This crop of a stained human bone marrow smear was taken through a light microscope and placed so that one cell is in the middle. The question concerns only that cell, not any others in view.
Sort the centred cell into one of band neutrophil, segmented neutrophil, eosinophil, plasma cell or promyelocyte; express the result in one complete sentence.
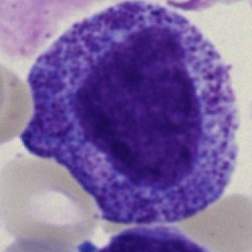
The target cell in the middle of the crop is a promyelocyte.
